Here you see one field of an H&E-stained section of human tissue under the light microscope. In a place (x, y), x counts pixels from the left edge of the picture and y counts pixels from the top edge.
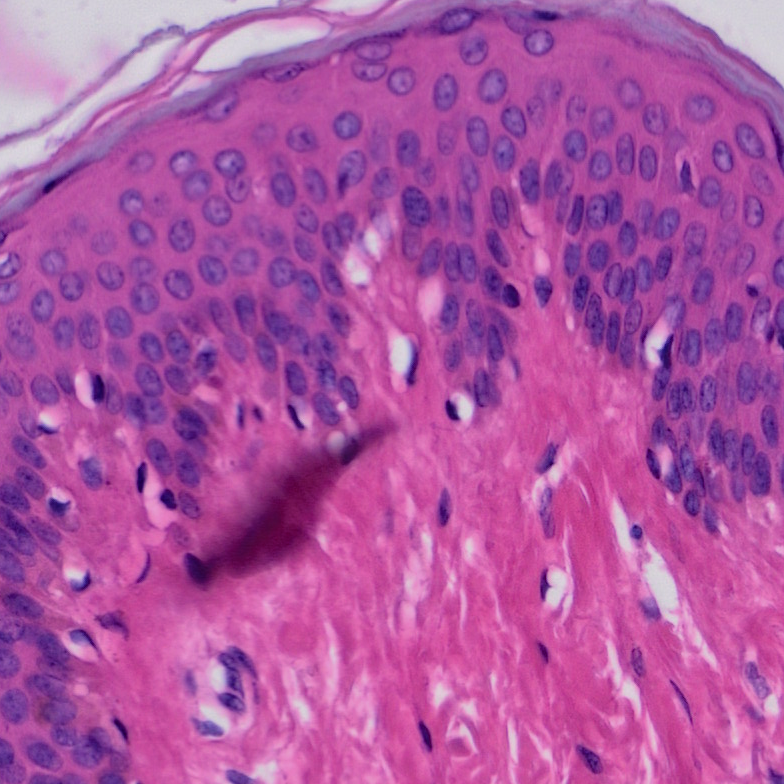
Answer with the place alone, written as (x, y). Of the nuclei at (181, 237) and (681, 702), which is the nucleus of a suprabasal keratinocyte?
(181, 237)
